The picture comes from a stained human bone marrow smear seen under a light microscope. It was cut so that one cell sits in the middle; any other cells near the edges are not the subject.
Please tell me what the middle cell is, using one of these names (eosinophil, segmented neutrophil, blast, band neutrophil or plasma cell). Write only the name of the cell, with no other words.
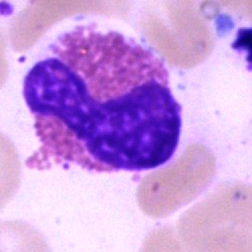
eosinophil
